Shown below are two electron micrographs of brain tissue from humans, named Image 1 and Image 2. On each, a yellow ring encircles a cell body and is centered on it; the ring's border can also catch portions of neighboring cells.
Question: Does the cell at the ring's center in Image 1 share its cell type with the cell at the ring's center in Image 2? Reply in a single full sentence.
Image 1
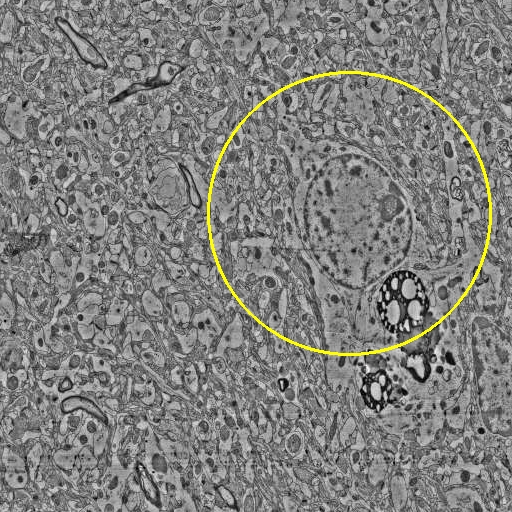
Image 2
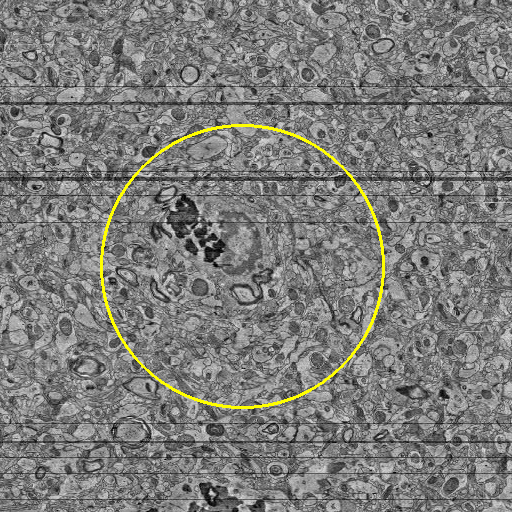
No, the two cells at the ring centers, in Image 1 and Image 2, are of two cell types.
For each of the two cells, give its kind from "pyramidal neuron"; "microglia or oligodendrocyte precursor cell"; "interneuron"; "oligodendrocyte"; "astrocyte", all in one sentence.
The first picture has an astrocyte in its ring, the second has an oligodendrocyte.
